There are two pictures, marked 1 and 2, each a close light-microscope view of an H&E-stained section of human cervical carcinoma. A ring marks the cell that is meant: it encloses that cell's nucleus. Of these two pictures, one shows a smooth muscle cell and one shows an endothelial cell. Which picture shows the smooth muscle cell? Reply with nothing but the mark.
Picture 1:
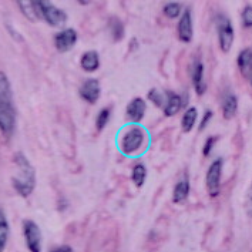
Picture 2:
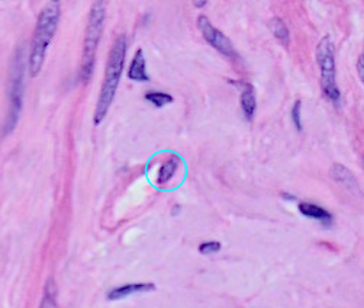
1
